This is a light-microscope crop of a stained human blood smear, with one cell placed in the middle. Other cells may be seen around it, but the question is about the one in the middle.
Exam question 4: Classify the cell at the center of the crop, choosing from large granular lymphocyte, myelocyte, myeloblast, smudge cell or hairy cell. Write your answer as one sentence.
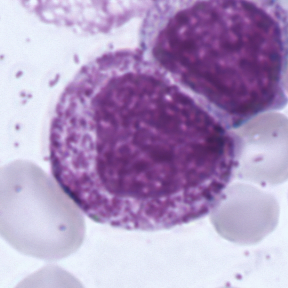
Centred in the crop is a myelocyte.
